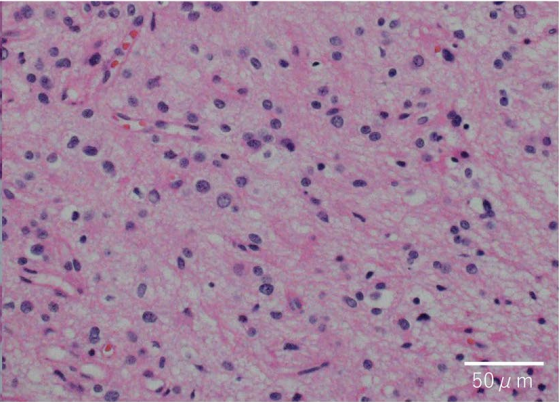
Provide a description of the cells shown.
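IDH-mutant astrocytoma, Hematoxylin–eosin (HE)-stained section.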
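Astrocytic tumour tissue with moderately dense tumour cells whose oval to elongated purple nuclei lie scattered in an abundant pink fibrillary background. Thin capillaries with red blood cells run through the tissue, and only small clear spaces are seen, without larger microcysts.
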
